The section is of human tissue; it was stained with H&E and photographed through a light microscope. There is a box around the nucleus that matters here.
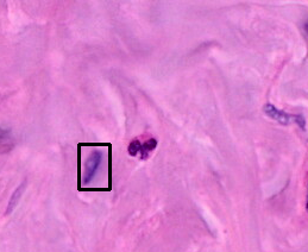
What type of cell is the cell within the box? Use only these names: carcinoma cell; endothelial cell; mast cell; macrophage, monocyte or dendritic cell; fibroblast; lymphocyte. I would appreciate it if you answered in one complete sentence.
The cell type of the cell within the box is that of a fibroblast.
